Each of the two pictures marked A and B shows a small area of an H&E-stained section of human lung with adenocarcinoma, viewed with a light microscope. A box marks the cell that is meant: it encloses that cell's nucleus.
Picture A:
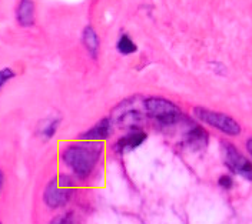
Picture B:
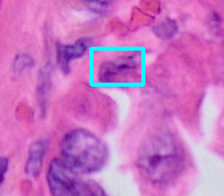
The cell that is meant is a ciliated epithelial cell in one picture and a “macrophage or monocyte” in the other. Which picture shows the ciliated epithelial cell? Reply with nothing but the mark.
A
